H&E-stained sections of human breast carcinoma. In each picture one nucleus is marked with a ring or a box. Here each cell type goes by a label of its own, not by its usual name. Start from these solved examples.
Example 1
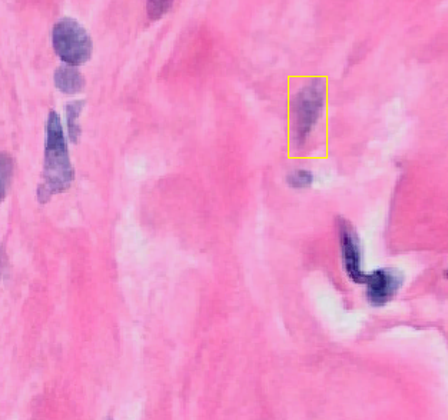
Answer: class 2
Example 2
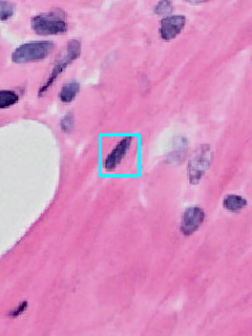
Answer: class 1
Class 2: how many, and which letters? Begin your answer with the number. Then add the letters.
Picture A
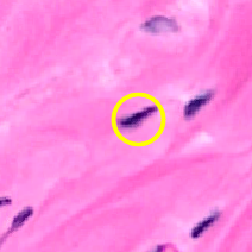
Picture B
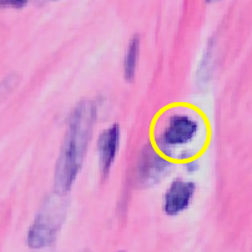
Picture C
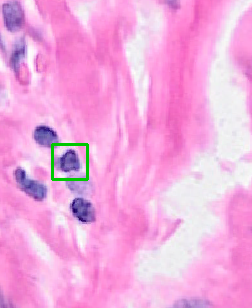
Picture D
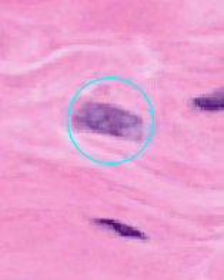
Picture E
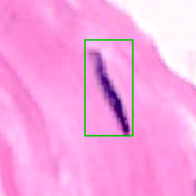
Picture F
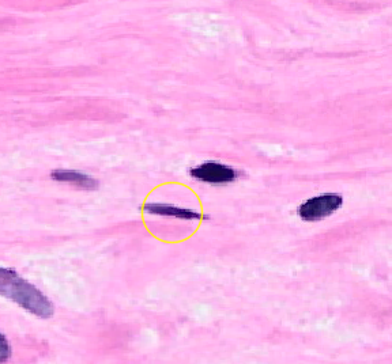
Count: 4 (A, D, E, F)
